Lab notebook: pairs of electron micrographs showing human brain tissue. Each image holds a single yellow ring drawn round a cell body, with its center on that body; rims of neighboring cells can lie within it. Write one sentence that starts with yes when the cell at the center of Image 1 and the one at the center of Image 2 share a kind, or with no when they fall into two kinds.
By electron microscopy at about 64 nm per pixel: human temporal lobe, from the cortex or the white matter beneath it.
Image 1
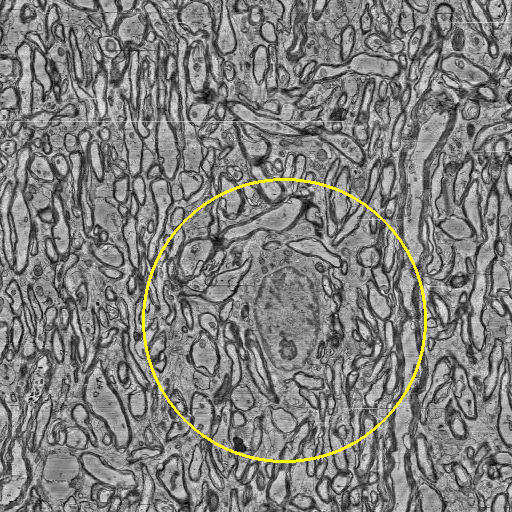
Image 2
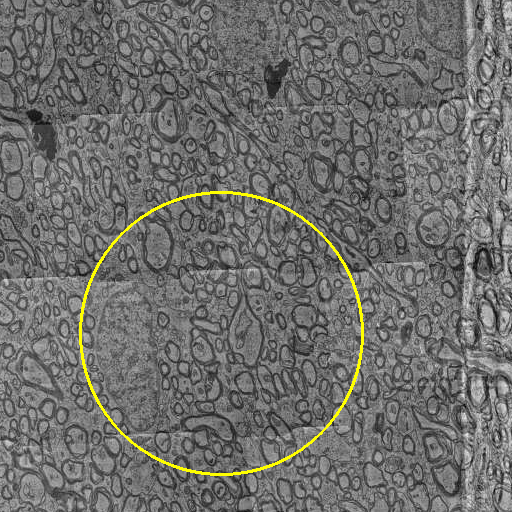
Yes, the centered cell in Image 1 and the centered cell in Image 2 are of one kind.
